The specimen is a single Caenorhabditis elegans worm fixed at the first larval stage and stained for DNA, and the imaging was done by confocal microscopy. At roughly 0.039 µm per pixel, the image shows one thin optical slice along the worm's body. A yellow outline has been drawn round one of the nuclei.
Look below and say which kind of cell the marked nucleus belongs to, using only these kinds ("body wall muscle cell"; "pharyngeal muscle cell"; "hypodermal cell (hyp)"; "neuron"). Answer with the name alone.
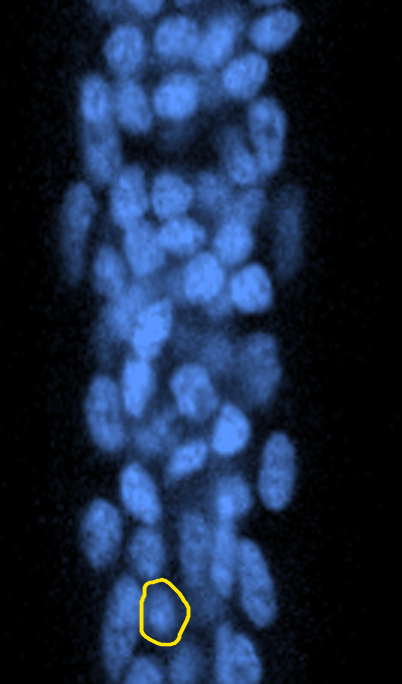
hypodermal cell (hyp)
